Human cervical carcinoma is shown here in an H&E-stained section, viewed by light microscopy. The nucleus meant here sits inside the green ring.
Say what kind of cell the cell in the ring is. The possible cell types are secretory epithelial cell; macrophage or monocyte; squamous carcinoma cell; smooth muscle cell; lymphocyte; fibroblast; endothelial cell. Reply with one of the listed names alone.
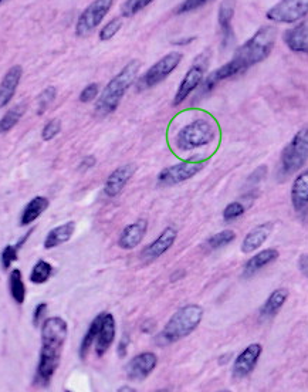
smooth muscle cell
